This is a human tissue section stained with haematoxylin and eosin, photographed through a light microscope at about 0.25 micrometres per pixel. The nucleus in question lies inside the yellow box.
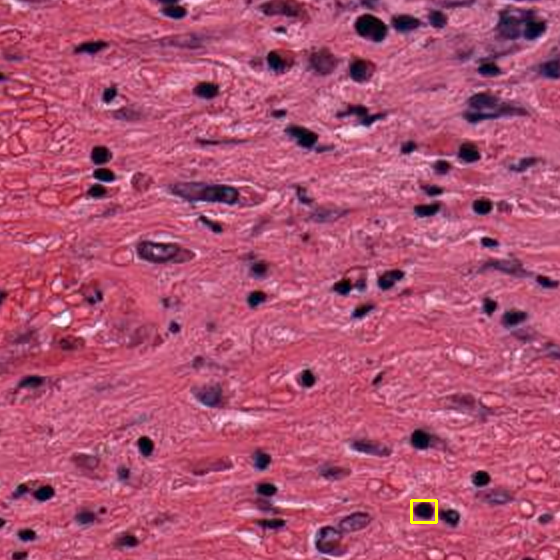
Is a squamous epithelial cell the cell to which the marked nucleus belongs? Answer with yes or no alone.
no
